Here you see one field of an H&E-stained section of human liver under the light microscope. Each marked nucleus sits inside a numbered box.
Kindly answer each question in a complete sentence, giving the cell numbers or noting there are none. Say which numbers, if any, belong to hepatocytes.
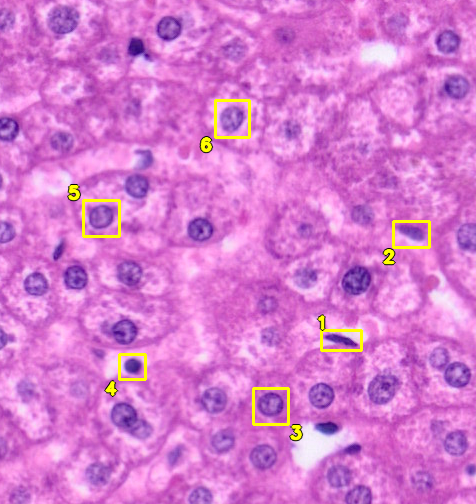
The numbers 3, 5 and 6 mark cells that are hepatocytes.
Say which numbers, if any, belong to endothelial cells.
The cells identified by the numbers 1 and 2 are endothelial cells.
